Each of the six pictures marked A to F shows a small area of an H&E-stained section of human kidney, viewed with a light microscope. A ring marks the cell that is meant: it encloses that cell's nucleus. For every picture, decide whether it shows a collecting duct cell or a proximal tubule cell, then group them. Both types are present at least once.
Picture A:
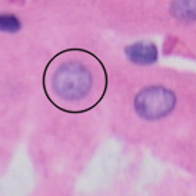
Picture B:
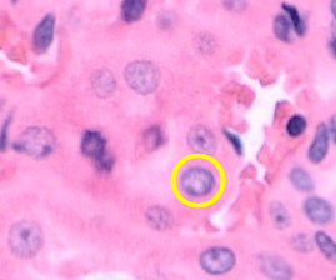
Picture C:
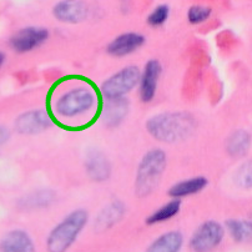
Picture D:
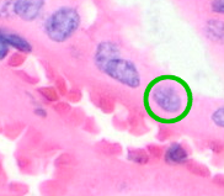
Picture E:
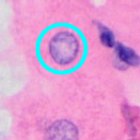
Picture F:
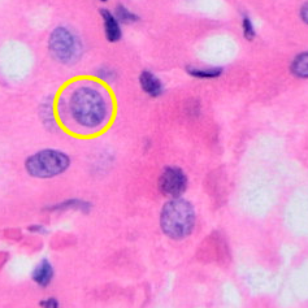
A: proximal tubule cell
B: proximal tubule cell
C: collecting duct cell
D: collecting duct cell
E: proximal tubule cell
F: proximal tubule cell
